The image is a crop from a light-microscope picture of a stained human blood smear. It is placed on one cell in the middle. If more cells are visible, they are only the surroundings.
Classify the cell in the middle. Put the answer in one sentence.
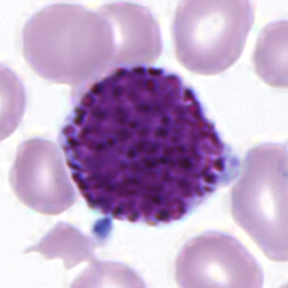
The crop's centre is taken up by a basophil.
